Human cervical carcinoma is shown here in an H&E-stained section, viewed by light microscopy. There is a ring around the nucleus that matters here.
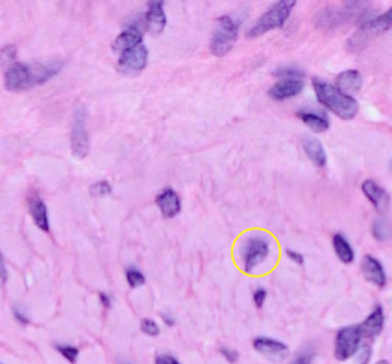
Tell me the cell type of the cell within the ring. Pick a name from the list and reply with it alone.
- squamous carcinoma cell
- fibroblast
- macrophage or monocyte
fibroblast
